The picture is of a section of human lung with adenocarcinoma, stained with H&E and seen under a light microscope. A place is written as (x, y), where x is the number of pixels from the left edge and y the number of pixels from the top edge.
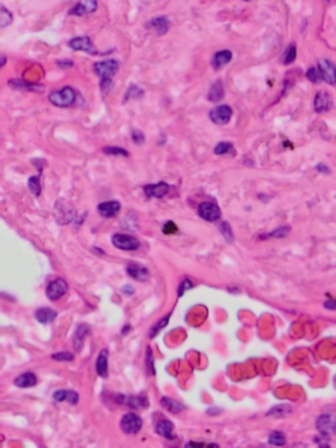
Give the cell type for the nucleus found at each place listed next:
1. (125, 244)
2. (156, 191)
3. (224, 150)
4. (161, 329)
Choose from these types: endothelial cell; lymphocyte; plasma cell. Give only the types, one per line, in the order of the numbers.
plasma cell
plasma cell
lymphocyte
endothelial cell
